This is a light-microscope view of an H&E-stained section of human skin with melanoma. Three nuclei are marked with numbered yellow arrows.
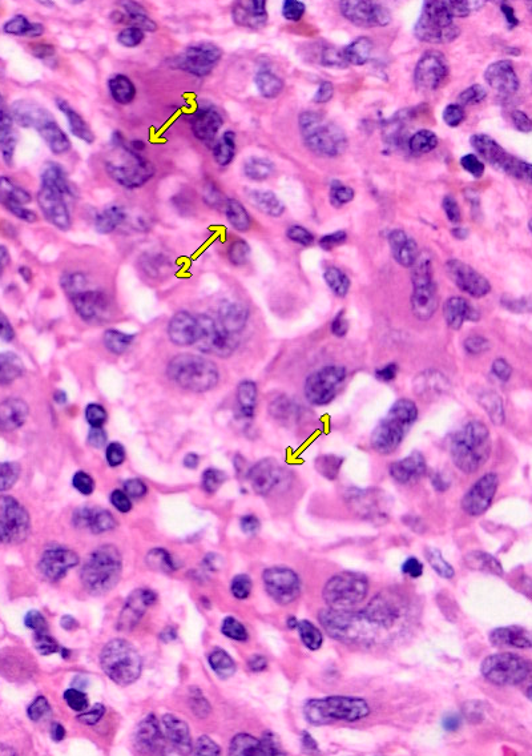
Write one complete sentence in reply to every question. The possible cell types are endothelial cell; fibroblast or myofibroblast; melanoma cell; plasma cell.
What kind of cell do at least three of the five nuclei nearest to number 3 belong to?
Melanoma cells make up most of the five nuclei closest to number 3.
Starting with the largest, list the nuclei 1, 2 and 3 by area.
Largest first, the order by area is 3, 1, 2.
